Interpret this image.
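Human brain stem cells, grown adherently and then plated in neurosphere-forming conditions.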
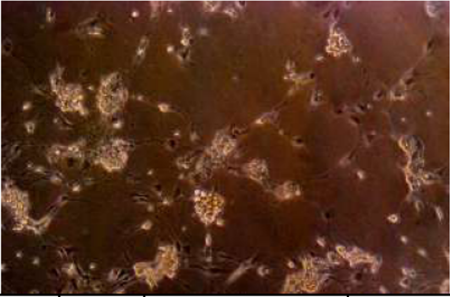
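Small, rounded, bright refractile cells are heaped into compact clusters. Scattered around the clusters, flattened cells with elongated, spindle-shaped or branching bodies and thin processes still lie spread on the dish surface.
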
